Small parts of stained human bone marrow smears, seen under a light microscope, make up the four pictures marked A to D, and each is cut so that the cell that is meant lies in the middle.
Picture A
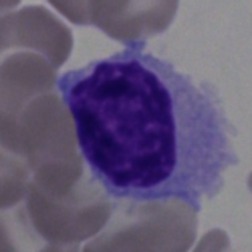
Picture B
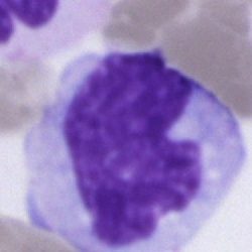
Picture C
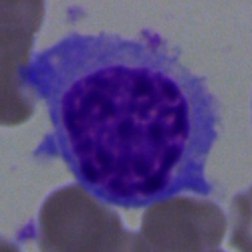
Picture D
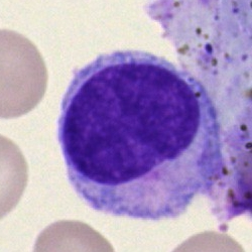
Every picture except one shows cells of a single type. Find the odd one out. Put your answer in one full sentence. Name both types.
The different one is picture B; it shows a monocyte, whereas all the others show hairy cells.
